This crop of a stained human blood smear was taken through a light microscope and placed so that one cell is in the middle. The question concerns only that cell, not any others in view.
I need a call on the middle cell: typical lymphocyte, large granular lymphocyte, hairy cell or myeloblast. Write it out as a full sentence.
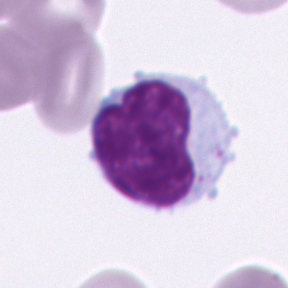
The cell shown in the center of this light-microscope crop is a large granular lymphocyte.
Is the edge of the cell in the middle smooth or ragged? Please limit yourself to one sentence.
Irregularity marks the cell border, whether as raggedness or as projections.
